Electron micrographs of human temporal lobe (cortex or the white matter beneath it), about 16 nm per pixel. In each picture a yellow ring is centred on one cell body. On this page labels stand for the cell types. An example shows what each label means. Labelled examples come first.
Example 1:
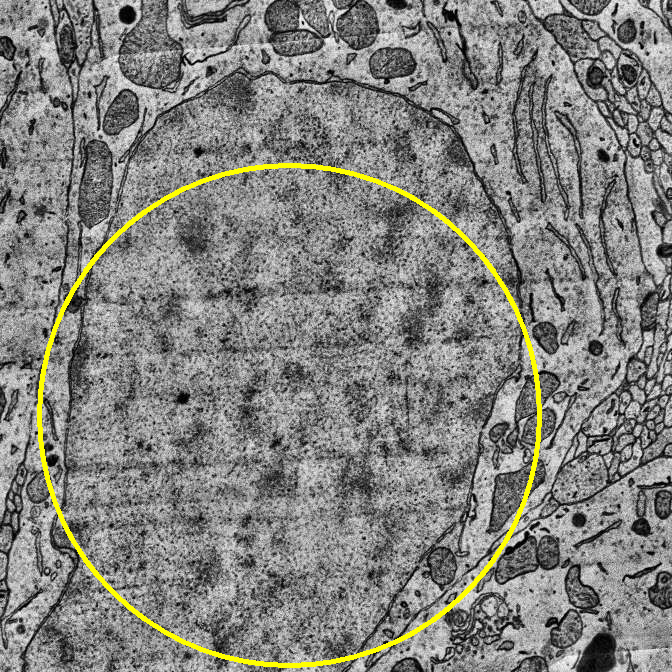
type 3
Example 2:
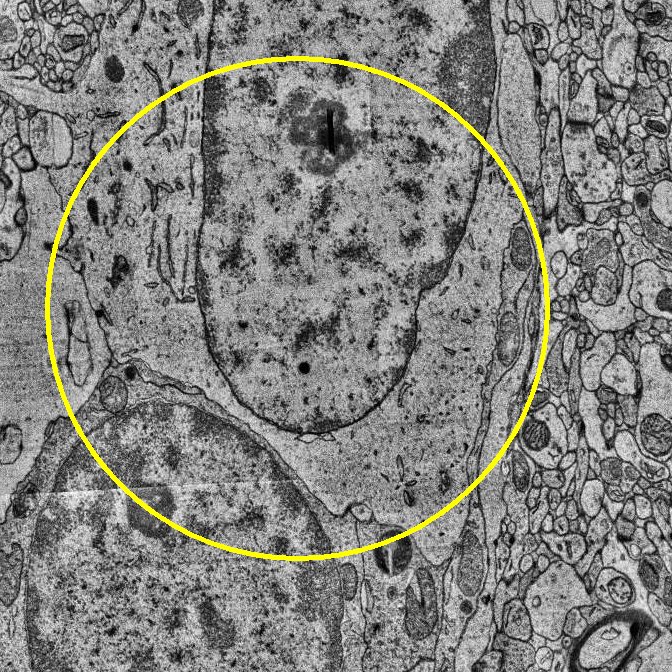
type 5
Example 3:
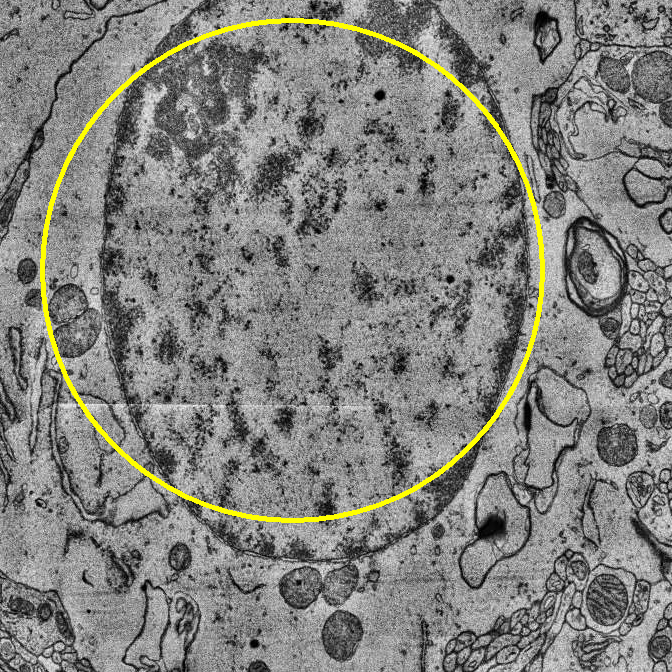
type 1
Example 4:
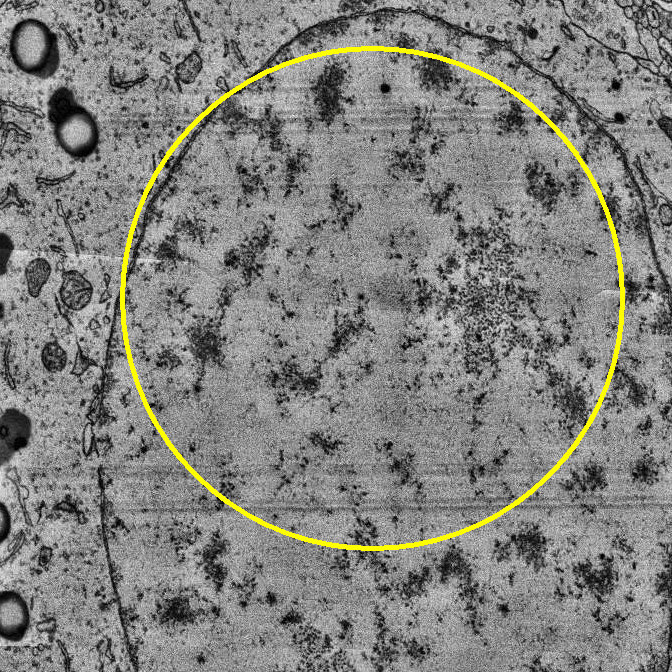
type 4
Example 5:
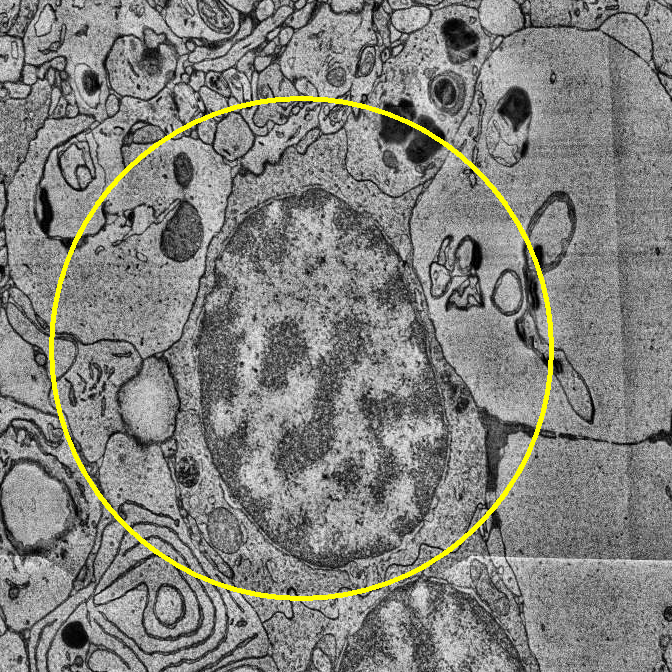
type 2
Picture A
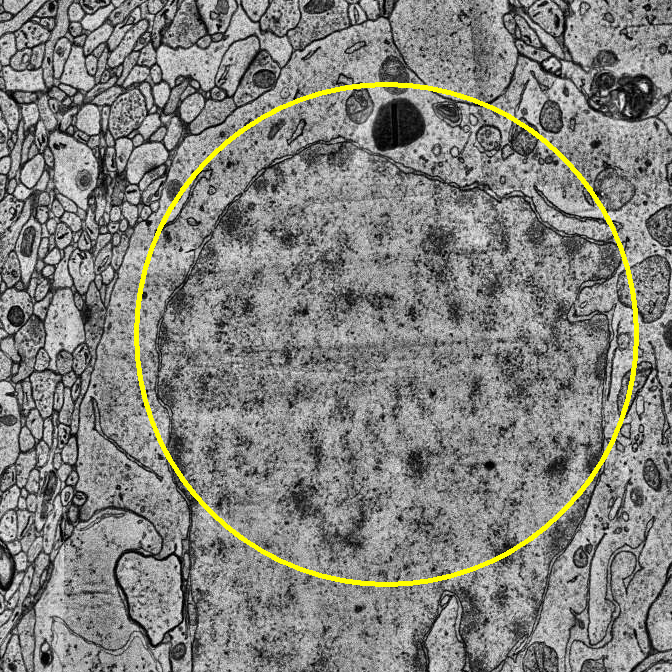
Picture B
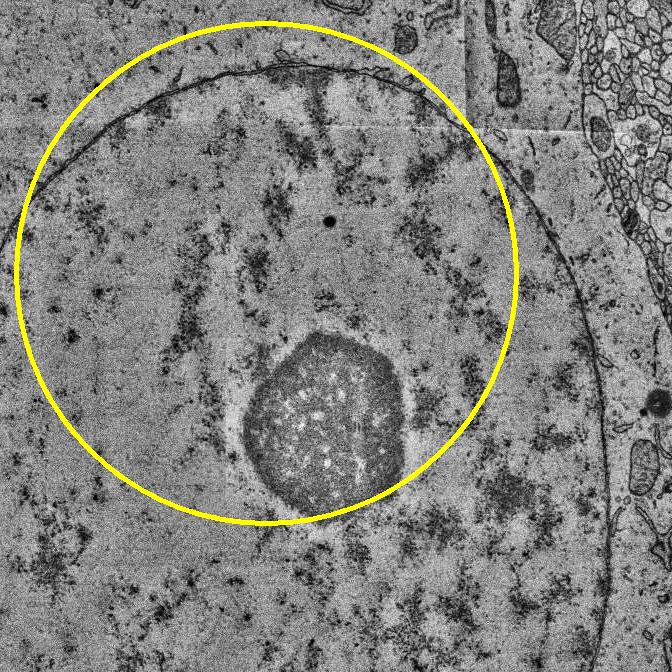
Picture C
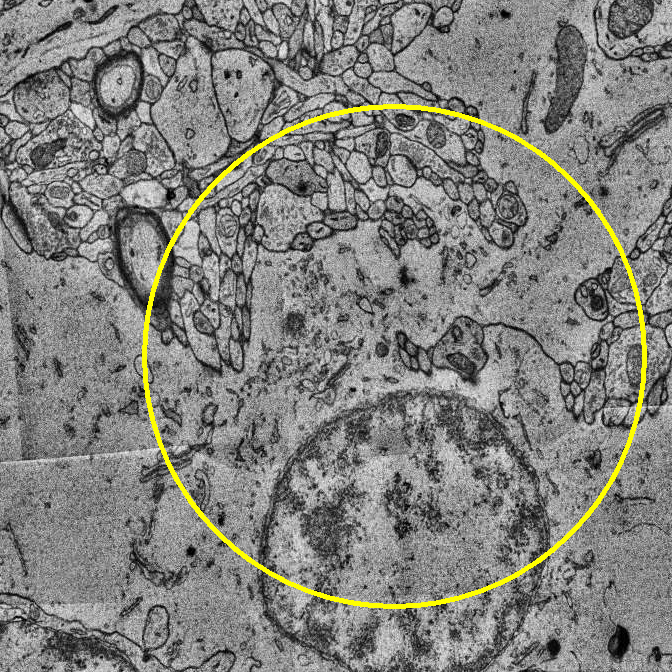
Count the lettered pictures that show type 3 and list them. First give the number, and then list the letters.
1: A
